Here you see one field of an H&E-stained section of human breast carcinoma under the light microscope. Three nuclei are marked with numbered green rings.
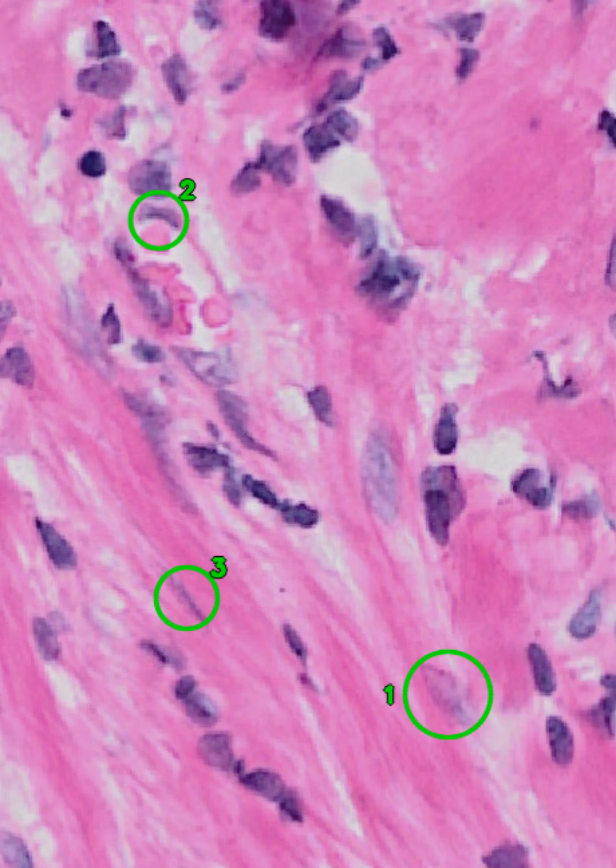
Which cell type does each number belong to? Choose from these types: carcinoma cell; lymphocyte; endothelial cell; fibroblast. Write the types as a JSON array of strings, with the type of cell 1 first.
["fibroblast", "endothelial cell", "fibroblast"]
